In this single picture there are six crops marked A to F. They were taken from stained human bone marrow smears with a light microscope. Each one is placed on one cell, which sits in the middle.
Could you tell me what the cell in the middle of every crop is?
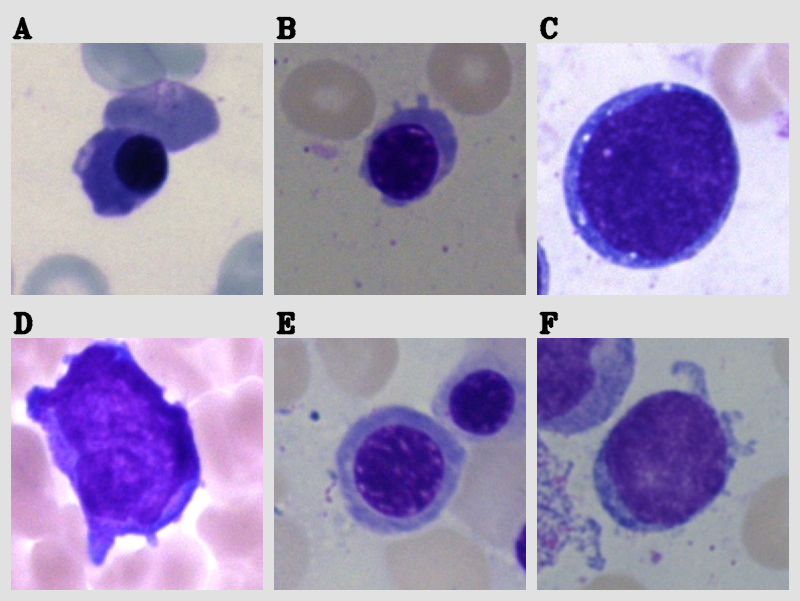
A: erythroblast
B: erythroblast
C: blast
D: blast
E: erythroblast
F: blast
